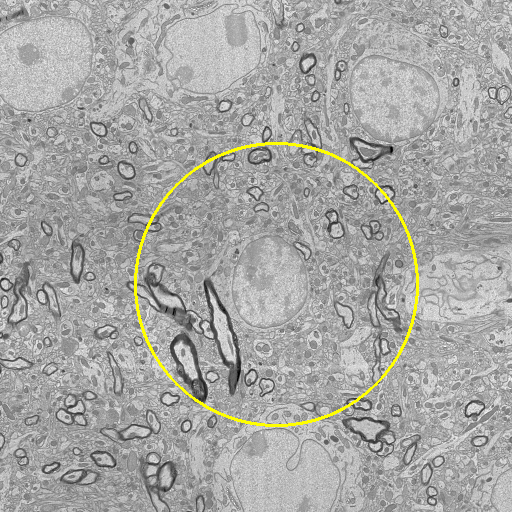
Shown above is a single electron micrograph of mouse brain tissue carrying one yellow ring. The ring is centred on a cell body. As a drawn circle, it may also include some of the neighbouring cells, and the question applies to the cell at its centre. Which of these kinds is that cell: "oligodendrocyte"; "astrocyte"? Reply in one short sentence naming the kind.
The cell marked by the ring is an oligodendrocyte.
